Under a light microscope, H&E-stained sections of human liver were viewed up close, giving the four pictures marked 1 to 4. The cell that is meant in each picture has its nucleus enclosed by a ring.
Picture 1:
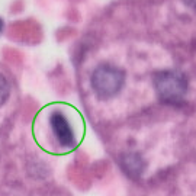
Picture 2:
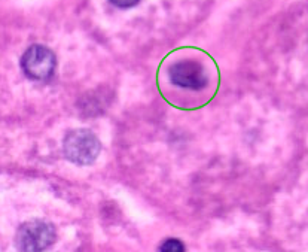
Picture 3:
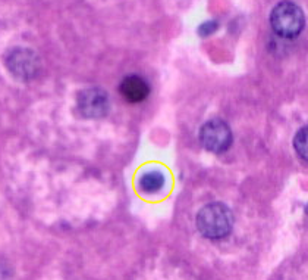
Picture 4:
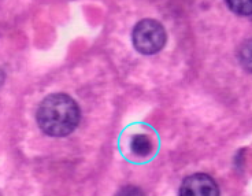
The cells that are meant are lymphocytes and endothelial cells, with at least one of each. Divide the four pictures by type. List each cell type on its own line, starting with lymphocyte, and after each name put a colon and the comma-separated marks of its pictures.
lymphocyte: 1, 3, 4
endothelial cell: 2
